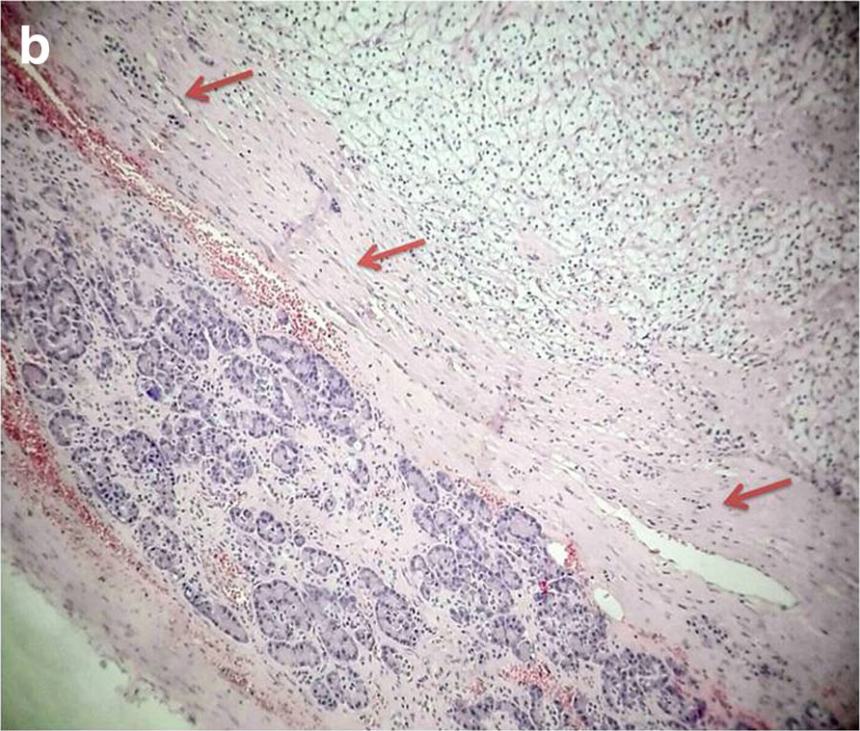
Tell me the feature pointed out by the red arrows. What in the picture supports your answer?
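Pseudocapsule. The arrows point to a band of pink fibrous tissue with elongated nuclei. The band separates clear-cell tumour tissue at upper right from glandular tissue at lower left.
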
